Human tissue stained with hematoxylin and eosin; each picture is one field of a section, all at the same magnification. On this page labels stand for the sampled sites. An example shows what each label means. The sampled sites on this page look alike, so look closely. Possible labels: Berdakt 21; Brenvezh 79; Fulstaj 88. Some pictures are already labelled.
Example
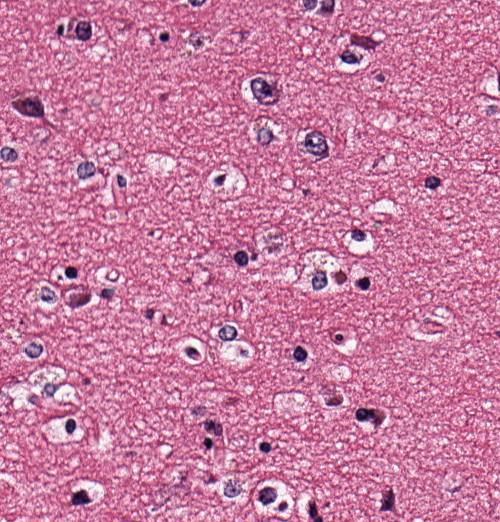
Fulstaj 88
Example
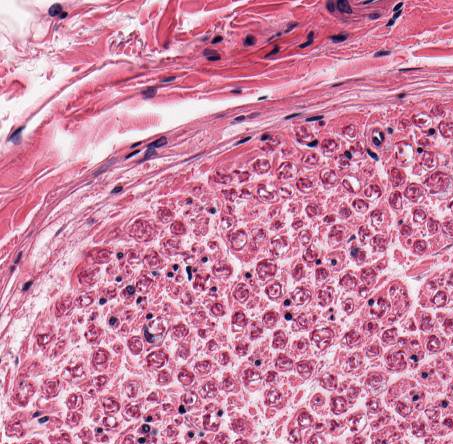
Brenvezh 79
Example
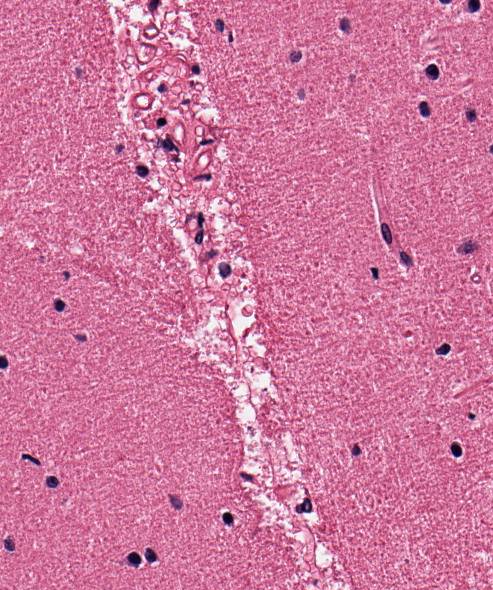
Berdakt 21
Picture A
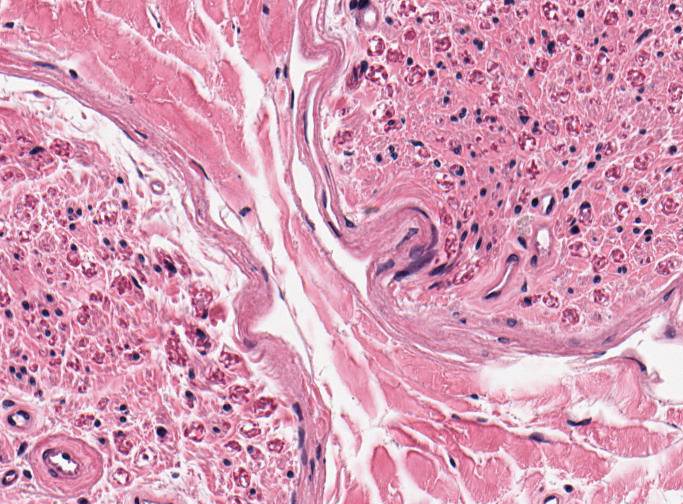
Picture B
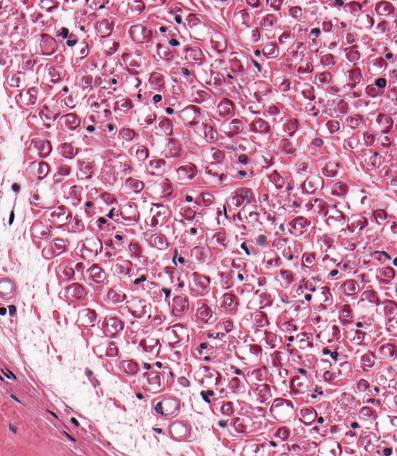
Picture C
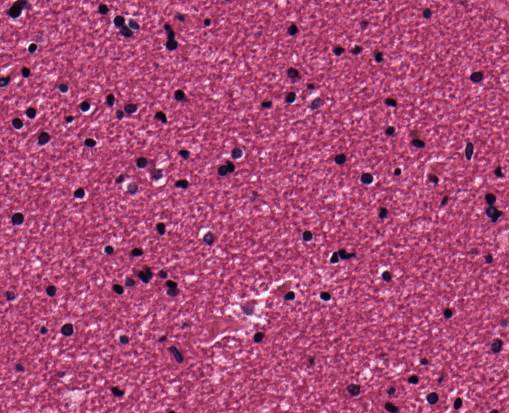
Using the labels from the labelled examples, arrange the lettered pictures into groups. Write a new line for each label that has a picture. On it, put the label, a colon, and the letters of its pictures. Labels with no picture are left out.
Brenvezh 79: A, B
Fulstaj 88: C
